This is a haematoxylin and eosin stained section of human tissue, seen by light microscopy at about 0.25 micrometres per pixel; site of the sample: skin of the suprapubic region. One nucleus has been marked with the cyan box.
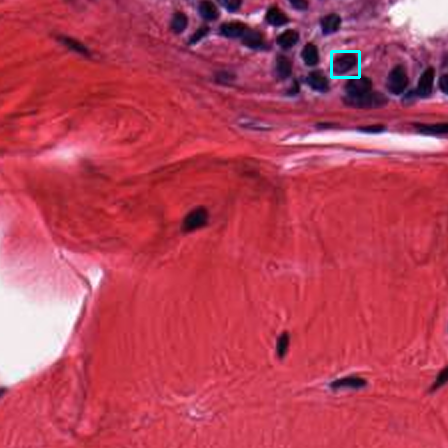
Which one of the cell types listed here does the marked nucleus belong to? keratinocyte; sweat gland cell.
sweat gland cell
